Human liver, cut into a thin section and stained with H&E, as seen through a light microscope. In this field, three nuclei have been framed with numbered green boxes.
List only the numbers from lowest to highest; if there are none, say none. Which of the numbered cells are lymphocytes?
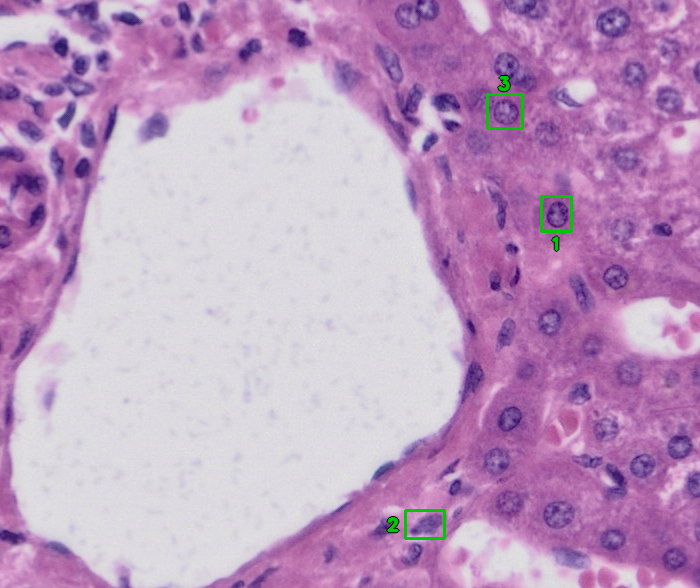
none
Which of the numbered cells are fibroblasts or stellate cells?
2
